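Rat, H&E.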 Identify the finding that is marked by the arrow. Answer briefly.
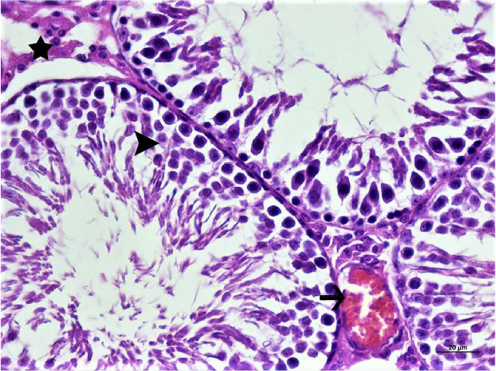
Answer: Hyperemia.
